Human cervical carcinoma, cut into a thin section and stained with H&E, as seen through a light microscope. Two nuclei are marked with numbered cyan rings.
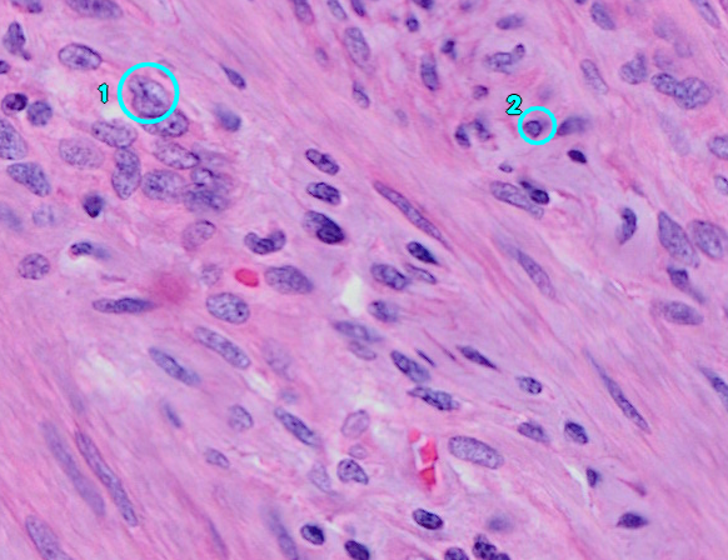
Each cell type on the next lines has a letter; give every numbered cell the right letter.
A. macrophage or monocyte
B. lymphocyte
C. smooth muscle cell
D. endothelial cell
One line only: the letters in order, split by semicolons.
D; C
